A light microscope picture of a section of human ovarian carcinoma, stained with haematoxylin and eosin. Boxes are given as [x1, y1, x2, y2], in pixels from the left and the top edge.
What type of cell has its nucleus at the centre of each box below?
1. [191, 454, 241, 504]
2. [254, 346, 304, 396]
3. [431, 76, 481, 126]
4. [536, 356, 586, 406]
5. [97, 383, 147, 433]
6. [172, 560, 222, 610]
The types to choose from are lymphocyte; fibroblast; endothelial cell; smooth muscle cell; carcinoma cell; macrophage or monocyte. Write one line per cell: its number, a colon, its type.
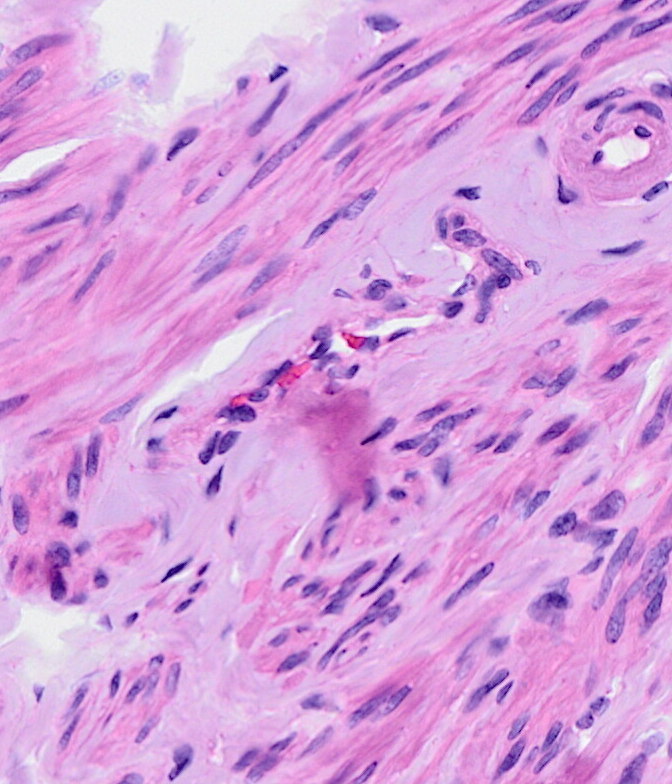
1: fibroblast
2: endothelial cell
3: smooth muscle cell
4: smooth muscle cell
5: smooth muscle cell
6: smooth muscle cell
